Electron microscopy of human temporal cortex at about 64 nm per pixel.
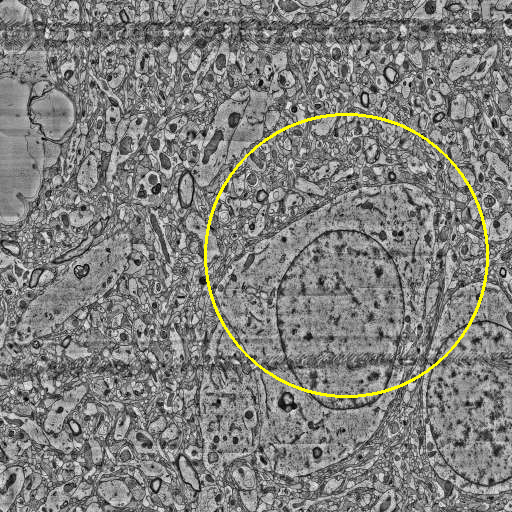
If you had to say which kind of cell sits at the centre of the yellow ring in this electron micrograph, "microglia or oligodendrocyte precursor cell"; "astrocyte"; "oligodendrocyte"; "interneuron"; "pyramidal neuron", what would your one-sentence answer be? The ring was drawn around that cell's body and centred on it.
The cell sitting at the centre of the ring is a pyramidal neuron.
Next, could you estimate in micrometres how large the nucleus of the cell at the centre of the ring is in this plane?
The ringed cell's nucleus is about 11 micrometres long and 9 micrometres wide in this plane.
